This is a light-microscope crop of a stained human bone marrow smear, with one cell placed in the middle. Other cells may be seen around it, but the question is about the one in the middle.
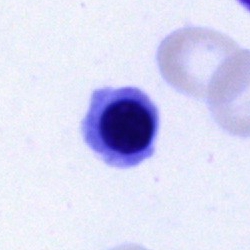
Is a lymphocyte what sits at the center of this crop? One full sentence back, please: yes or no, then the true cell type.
No, what lies at the heart of the crop is a normoblast, not a lymphocyte.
